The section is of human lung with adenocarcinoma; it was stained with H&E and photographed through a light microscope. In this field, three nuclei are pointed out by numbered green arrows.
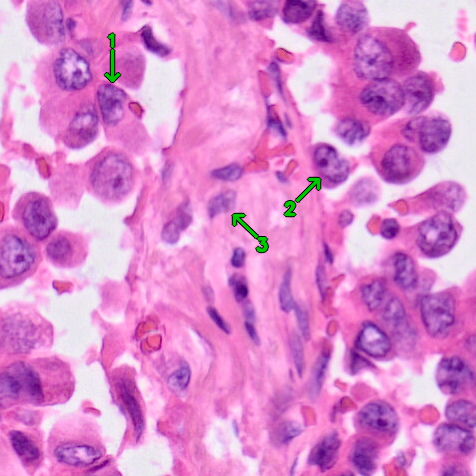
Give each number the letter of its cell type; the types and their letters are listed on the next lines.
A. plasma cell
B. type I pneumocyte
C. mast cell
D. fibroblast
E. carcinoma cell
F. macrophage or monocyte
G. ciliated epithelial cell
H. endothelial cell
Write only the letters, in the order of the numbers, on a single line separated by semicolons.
E; E; D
